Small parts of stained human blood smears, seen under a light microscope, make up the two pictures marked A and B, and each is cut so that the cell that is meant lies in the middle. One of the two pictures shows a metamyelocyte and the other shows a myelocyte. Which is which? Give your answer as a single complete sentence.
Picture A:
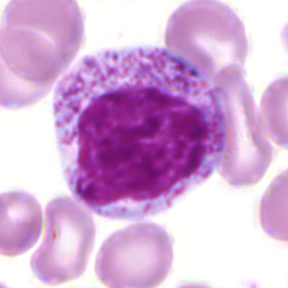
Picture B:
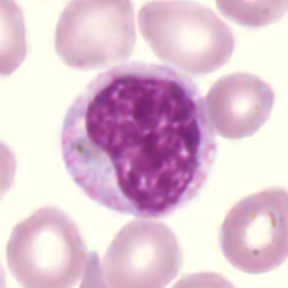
The cell in picture A is a myelocyte, and the one in picture B is a metamyelocyte.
